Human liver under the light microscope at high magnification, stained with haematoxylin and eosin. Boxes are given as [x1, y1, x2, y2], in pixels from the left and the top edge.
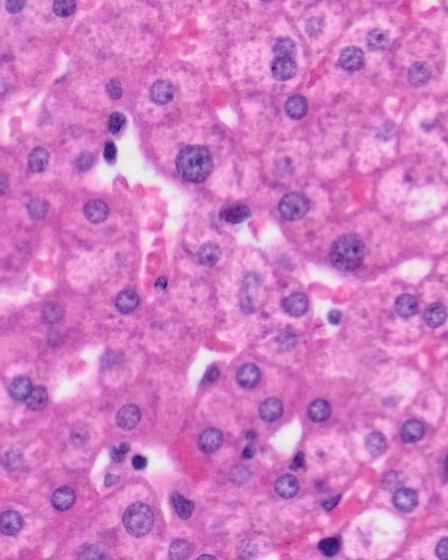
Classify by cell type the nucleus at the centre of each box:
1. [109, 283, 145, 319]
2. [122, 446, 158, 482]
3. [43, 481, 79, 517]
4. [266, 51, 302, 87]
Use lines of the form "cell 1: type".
cell 1: hepatocyte
cell 2: lymphocyte
cell 3: hepatocyte
cell 4: hepatocyte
